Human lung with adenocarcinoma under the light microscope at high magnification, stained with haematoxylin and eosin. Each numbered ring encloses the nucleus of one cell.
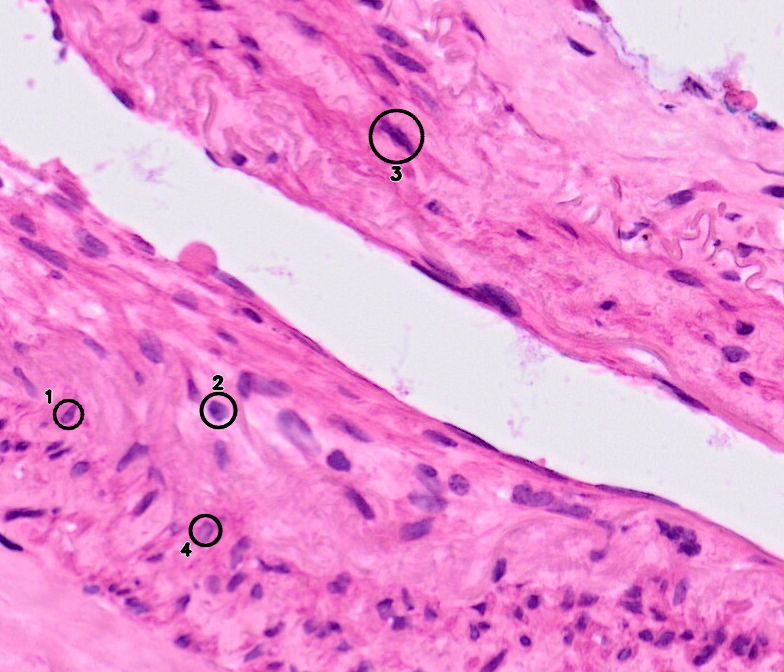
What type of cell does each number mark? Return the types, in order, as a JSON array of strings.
["smooth muscle cell or pericyte", "lymphocyte", "smooth muscle cell or pericyte", "smooth muscle cell or pericyte"]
